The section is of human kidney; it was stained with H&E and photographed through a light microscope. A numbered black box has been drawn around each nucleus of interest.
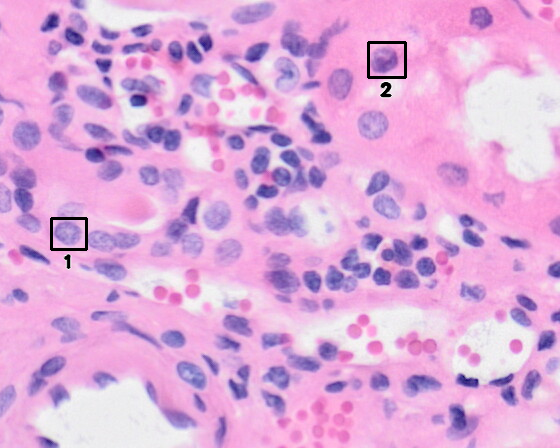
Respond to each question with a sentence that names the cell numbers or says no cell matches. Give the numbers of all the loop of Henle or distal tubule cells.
None of the cells indicated by numbers are loop of Henle or distal tubule cells.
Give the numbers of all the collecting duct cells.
No marked cell except number 1 is a collecting duct cell.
